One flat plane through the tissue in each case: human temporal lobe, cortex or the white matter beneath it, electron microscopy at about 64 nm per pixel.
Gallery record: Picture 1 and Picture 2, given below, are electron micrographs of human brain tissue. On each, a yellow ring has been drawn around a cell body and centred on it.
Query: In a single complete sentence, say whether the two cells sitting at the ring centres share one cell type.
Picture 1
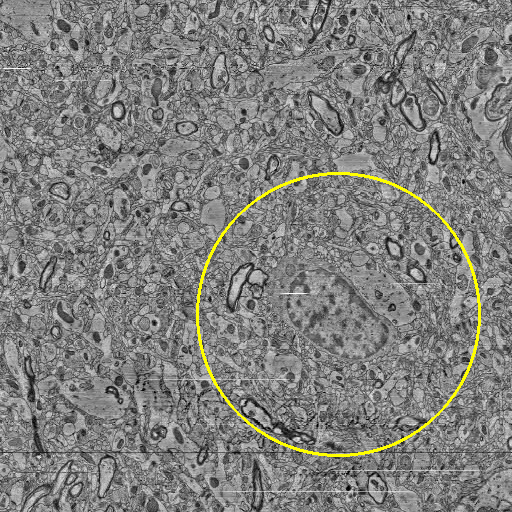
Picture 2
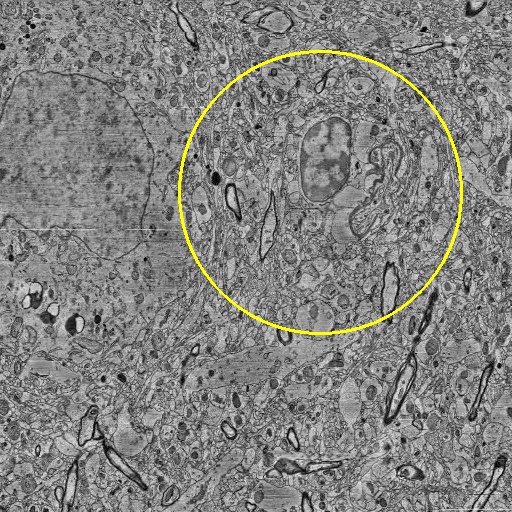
No, in the two pictures the cells at the rings' centres are of two separate types.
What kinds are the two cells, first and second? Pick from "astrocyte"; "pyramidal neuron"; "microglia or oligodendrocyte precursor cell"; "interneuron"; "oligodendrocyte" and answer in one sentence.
The second picture holds a microglial cell or oligodendrocyte precursor cell in its ring, and the first holds an oligodendrocyte.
